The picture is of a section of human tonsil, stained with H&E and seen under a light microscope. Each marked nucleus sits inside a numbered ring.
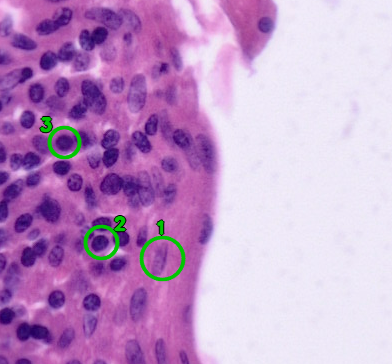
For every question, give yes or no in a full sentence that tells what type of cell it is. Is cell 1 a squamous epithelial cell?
Yes, to put it simply, cell number 1 is a squamous epithelial cell.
